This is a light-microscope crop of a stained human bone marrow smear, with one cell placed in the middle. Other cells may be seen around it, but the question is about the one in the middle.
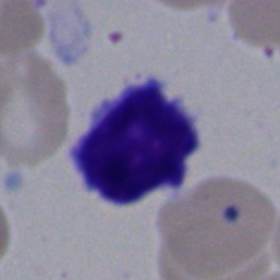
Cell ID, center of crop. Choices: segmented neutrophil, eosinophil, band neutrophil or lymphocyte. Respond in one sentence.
In the center of this field lies a lymphocyte.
